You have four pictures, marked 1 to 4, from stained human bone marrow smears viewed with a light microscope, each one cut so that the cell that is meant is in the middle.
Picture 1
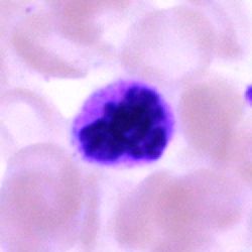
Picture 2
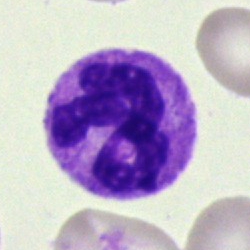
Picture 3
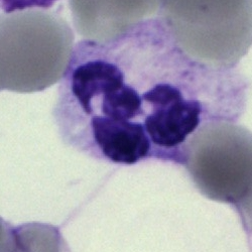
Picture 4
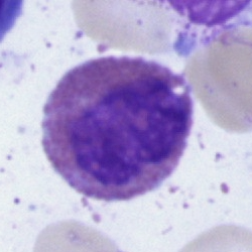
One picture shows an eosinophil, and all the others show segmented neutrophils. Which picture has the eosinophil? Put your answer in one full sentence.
The cell in picture 4 is the eosinophil.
